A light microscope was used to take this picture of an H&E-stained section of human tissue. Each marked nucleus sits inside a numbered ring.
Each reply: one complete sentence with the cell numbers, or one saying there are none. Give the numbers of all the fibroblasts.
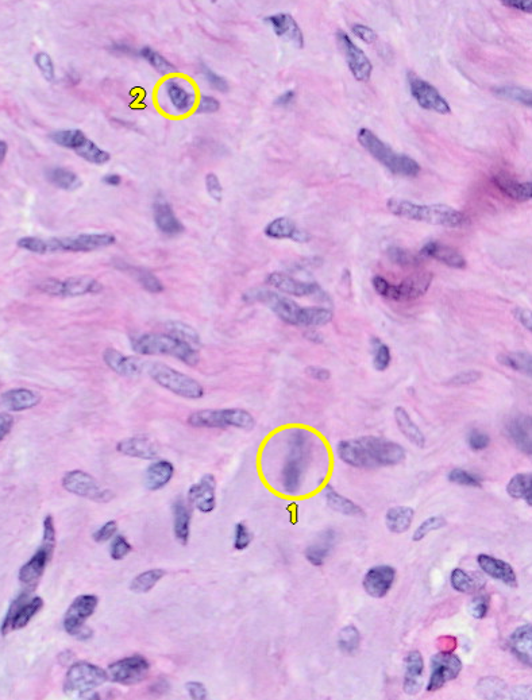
No marked cell except number 1 is a fibroblast.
